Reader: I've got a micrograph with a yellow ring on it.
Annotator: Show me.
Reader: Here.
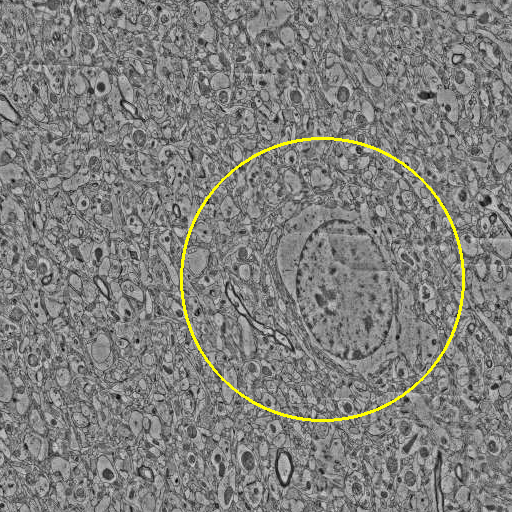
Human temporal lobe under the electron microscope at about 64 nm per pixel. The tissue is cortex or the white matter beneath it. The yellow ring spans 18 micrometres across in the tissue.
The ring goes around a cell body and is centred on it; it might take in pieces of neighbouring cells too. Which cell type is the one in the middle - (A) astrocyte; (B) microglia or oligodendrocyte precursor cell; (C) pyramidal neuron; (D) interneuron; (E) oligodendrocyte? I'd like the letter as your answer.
A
